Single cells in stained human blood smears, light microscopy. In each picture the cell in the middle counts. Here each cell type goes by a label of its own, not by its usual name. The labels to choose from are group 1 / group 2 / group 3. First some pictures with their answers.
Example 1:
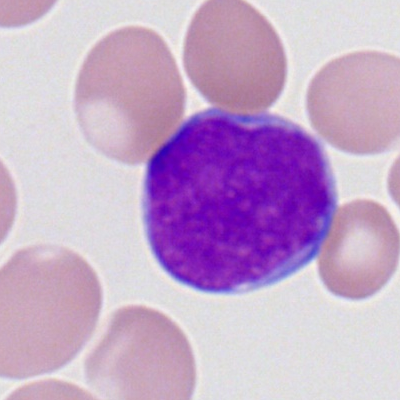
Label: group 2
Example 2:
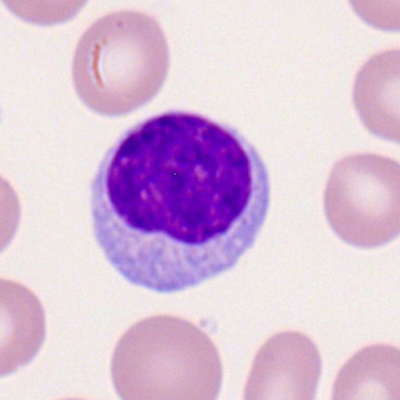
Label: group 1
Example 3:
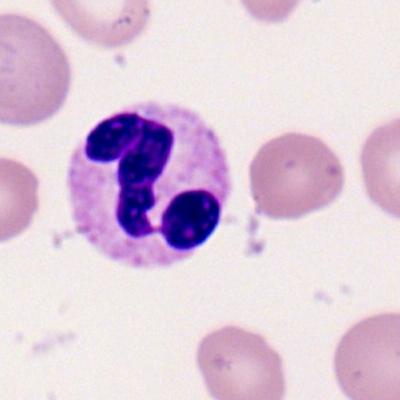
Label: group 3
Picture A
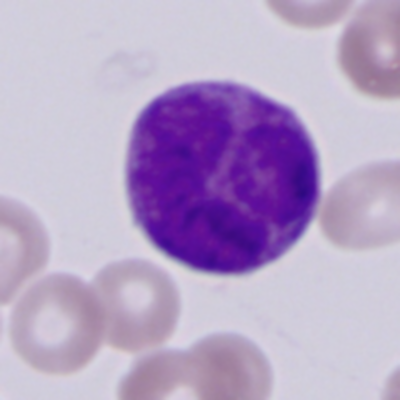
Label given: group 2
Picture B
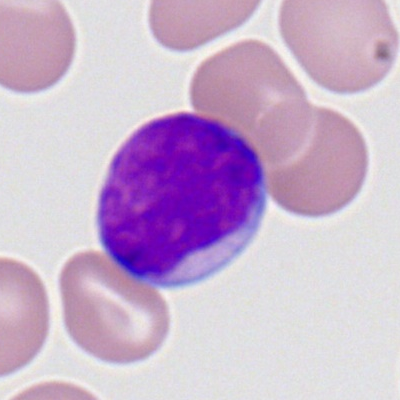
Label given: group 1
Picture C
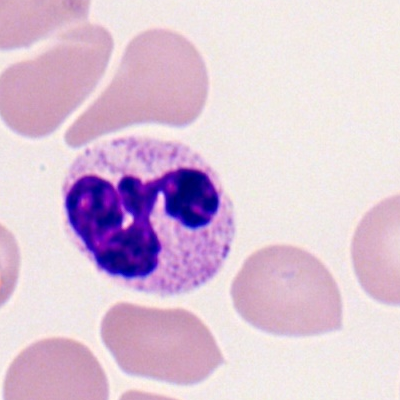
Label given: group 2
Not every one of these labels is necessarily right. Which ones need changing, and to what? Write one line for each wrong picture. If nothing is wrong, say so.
B: not group 1 but group 2
C: not group 2 but group 3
